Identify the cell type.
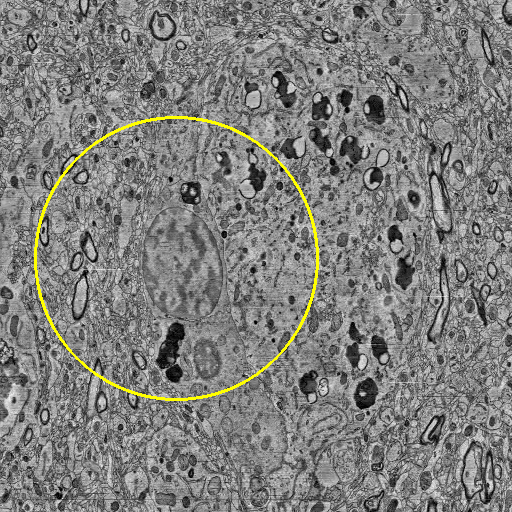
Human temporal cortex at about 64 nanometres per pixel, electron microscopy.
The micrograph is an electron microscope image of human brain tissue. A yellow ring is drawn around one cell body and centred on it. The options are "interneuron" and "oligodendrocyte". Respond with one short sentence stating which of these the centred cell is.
The cell body in the ring belongs to an oligodendrocyte.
